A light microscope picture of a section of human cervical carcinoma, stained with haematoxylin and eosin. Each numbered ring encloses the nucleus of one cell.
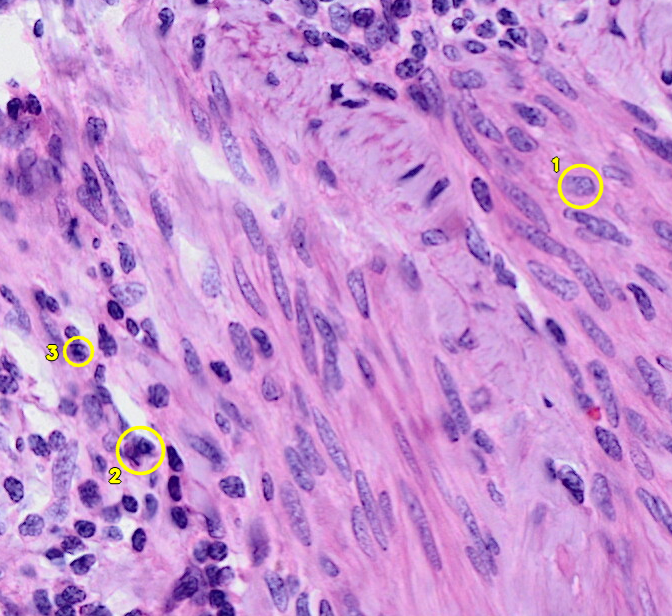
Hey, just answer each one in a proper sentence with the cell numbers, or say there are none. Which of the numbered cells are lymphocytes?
The numbers 2 and 3 refer to cells that are lymphocytes.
